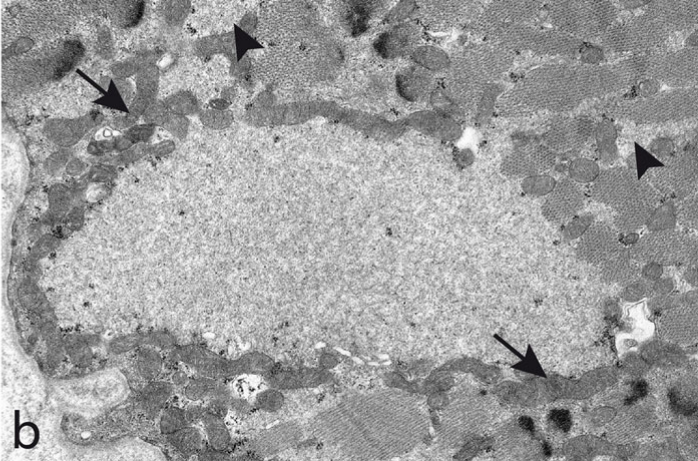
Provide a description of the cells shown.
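Skeletal muscle fibre with a large oval inclusion of pale, finely granular material lacking myofibrillar striation. Numerous mitochondria with dense matrix and cristae crowd in a rim around the inclusion but not within it. Smaller patches of similar granular material lie between the surrounding striated myofibrils.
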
